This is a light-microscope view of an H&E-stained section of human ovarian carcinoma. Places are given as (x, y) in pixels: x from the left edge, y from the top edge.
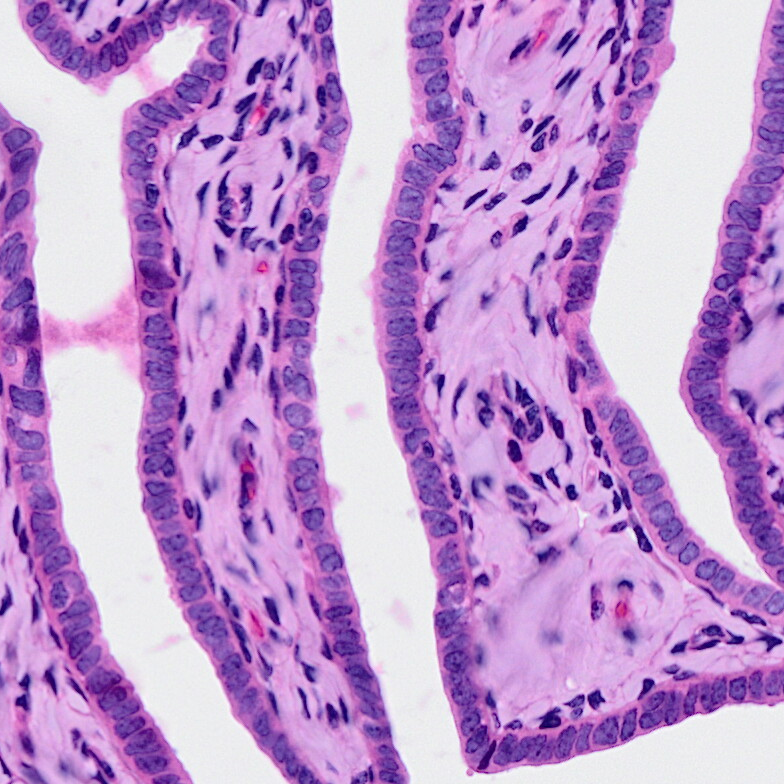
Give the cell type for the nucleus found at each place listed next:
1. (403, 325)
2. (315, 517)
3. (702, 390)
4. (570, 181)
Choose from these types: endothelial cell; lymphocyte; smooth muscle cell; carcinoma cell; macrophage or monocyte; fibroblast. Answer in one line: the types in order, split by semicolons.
carcinoma cell; carcinoma cell; carcinoma cell; fibroblast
